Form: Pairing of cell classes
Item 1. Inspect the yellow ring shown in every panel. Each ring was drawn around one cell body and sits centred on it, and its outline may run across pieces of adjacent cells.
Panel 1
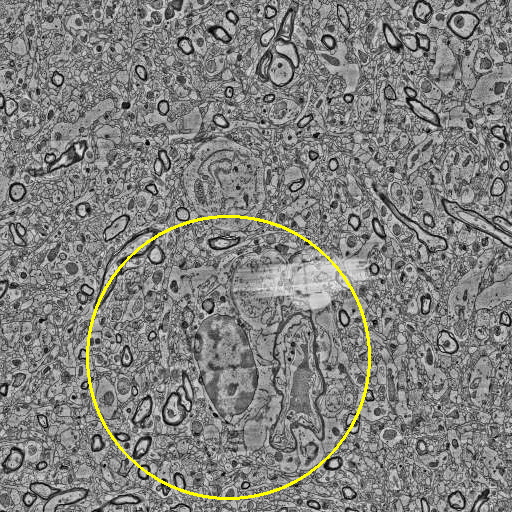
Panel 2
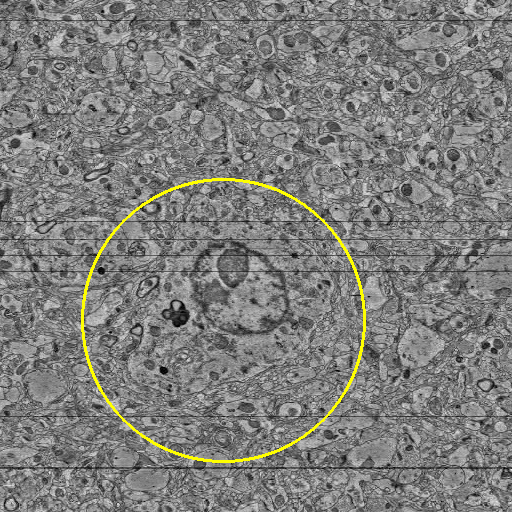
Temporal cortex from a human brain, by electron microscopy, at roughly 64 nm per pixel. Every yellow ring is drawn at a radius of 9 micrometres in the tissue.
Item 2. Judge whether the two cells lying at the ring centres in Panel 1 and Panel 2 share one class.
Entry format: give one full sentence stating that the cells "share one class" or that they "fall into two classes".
The cells at the ring centres in Panel 1 and Panel 2 fall into two classes.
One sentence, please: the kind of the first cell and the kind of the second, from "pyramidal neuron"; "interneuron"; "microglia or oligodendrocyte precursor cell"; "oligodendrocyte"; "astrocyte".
The ring in the first picture surrounds a microglial cell or oligodendrocyte precursor cell, and the ring in the second surrounds a pyramidal neuron.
